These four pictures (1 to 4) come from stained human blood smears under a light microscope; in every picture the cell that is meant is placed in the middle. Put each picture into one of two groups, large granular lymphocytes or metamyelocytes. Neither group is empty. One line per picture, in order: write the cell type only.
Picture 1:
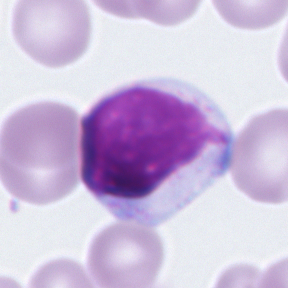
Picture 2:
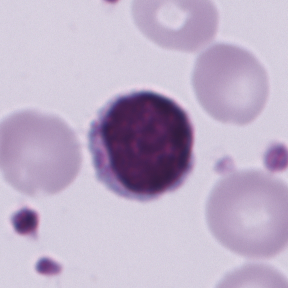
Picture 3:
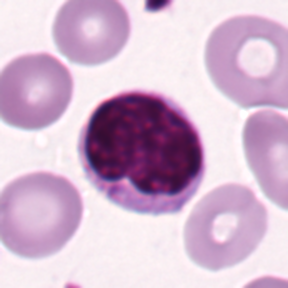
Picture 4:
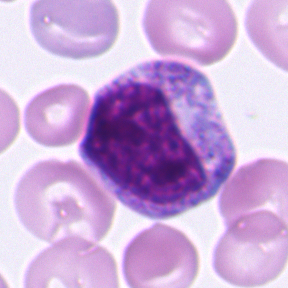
large granular lymphocyte
large granular lymphocyte
large granular lymphocyte
metamyelocyte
